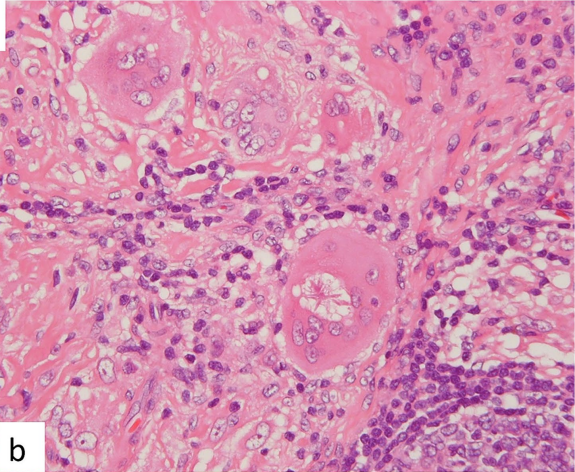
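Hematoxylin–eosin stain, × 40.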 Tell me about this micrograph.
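This is a granuloma made of epithelioid cells with giant cells. Two or more large multinucleated giant cells with abundant pink cytoplasm stand out; their nuclei cluster within the cytoplasm. In the lower giant cell a clear space holds a star-shaped, pale pink inclusion with radiating spikes, an asteroid body. Bands of small dark round lymphocytes run between the groups of epithelioid cells, densest at the lower right.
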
